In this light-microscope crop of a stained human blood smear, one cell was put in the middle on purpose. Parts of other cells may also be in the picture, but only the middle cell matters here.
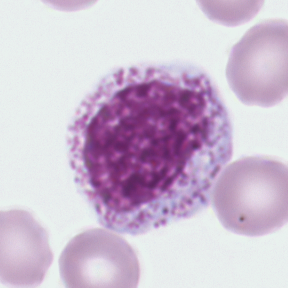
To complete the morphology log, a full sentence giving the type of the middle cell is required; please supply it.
The cell in the exact centre of the crop is a metamyelocyte.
